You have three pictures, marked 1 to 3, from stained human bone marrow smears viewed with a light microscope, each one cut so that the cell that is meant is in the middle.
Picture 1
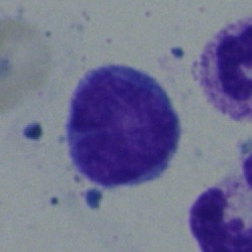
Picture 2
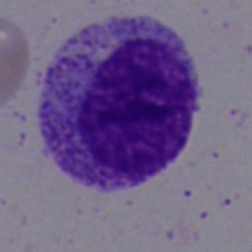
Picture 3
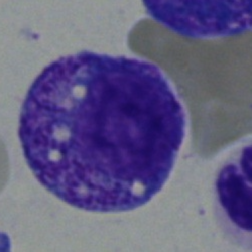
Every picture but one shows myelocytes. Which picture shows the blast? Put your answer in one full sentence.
The blast is the one in picture 1.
